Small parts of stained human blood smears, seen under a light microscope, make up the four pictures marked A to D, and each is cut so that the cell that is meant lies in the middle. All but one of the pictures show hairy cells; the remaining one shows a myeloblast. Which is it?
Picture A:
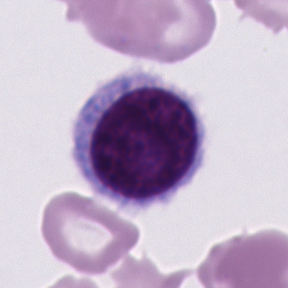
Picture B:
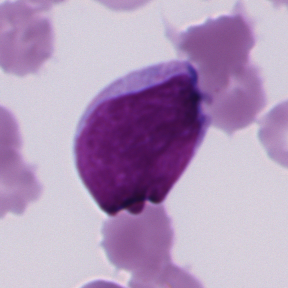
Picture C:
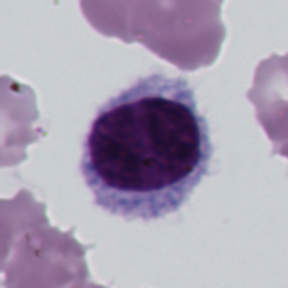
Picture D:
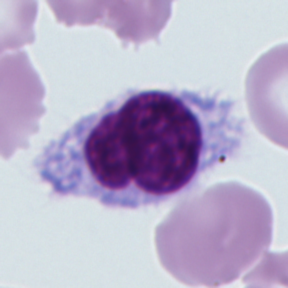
B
